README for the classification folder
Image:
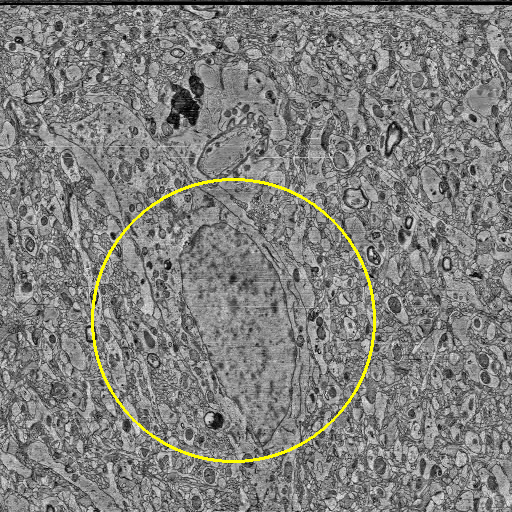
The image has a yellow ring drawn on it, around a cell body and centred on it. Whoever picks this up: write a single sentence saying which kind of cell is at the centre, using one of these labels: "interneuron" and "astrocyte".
This cell body is that of an interneuron.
